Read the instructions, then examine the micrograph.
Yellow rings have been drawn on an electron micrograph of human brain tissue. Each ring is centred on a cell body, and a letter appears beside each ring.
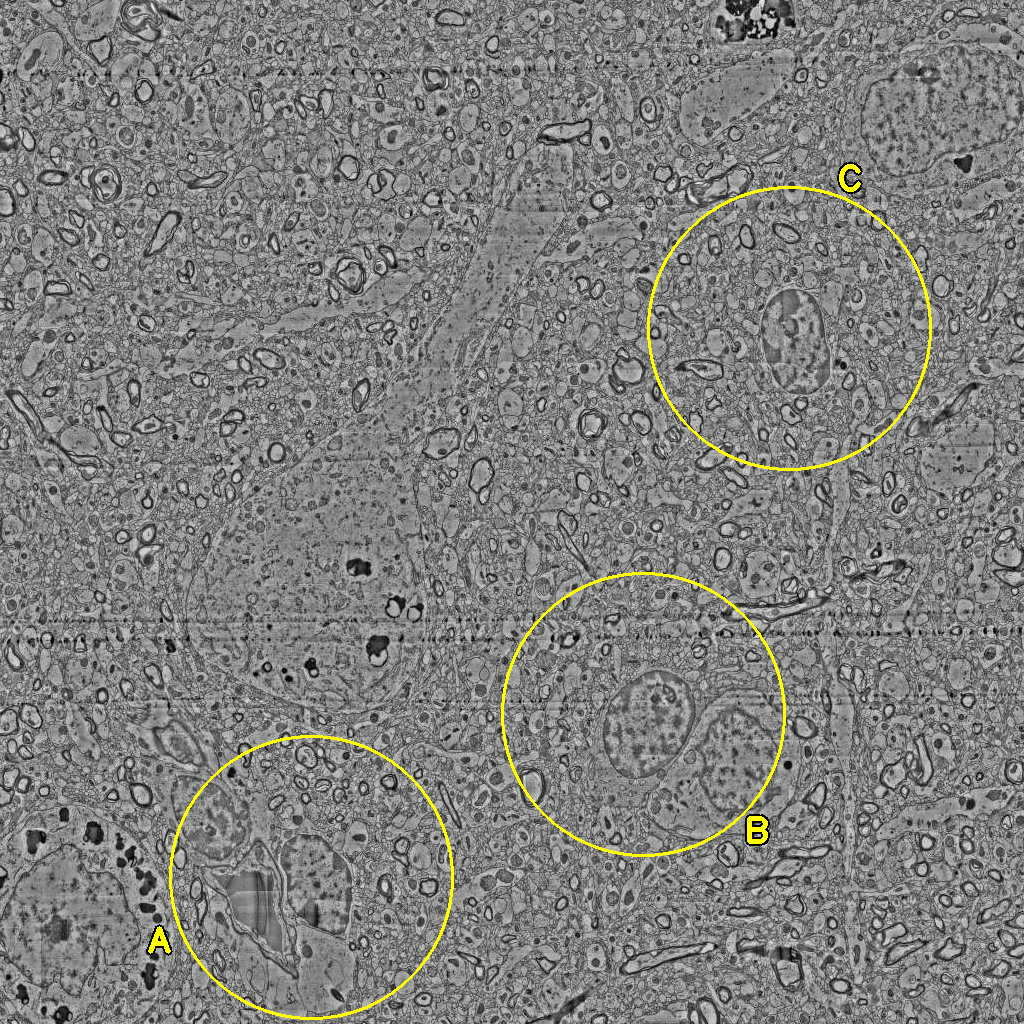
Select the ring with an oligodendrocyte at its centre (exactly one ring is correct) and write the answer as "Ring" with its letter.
Ring B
